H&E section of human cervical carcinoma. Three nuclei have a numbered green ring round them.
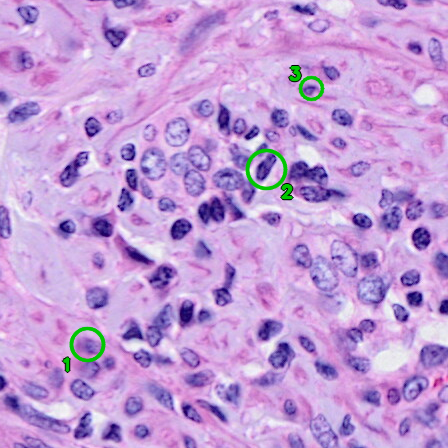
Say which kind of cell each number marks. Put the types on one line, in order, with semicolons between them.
smooth muscle cell; lymphocyte; smooth muscle cell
